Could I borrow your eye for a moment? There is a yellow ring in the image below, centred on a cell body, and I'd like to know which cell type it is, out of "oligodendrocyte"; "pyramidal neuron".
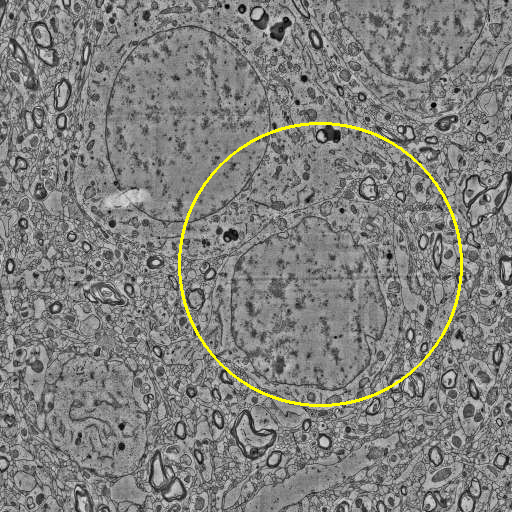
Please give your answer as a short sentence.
The cell body at the centre is that of a pyramidal neuron.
